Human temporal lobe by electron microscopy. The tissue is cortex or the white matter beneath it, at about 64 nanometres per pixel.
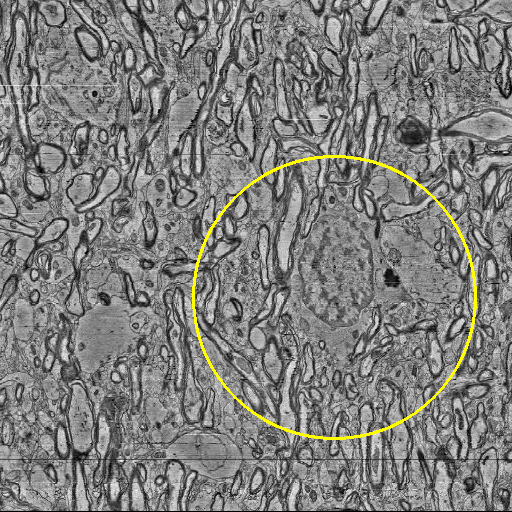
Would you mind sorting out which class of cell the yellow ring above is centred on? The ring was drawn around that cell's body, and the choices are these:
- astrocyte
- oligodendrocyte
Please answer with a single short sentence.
This is the cell body of an oligodendrocyte.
